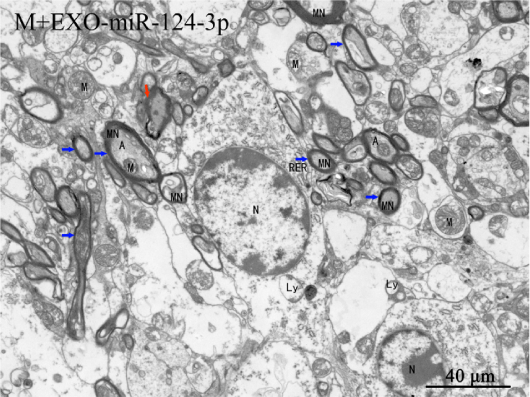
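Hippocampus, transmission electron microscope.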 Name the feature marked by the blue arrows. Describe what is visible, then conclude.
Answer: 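The blue arrows point at dark rings surrounding round axon profiles. The rings are compact and of even thickness.
Hence: dense and normal axonal myelin.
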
